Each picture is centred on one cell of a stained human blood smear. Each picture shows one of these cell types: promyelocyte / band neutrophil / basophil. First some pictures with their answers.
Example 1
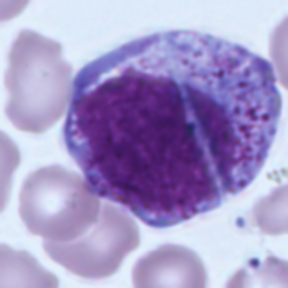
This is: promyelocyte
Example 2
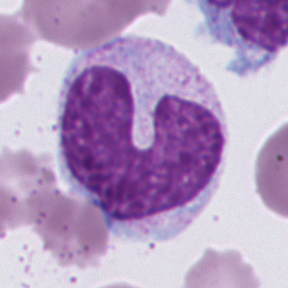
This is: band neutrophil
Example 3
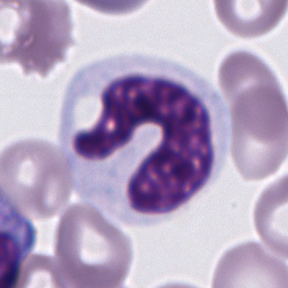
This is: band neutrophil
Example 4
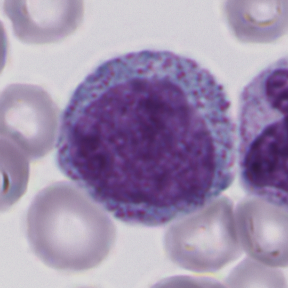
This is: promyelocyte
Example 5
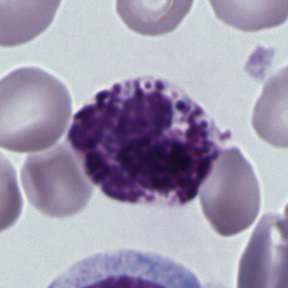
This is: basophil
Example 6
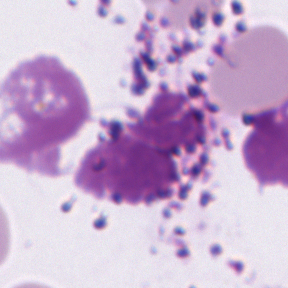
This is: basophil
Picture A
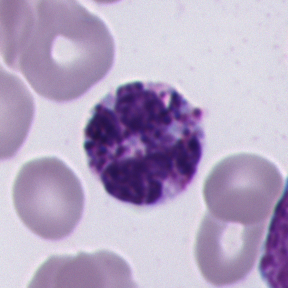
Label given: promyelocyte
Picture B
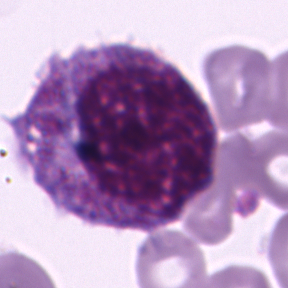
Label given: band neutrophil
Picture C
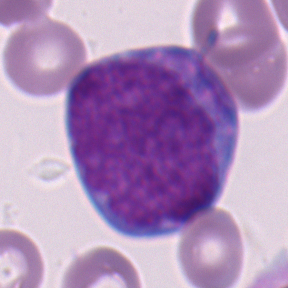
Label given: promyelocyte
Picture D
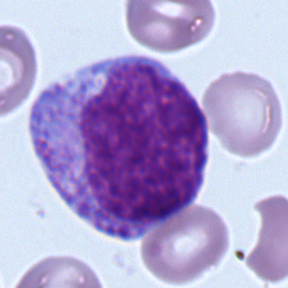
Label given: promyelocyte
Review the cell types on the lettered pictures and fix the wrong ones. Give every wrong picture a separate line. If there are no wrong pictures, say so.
A is labelled promyelocyte; correct label: basophil
B is labelled band neutrophil; correct label: promyelocyte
